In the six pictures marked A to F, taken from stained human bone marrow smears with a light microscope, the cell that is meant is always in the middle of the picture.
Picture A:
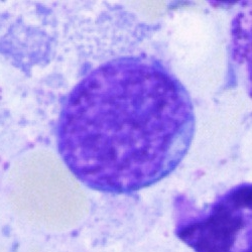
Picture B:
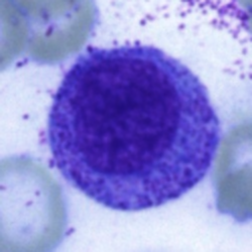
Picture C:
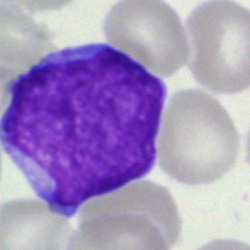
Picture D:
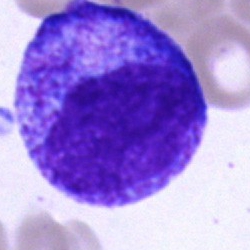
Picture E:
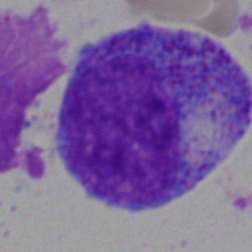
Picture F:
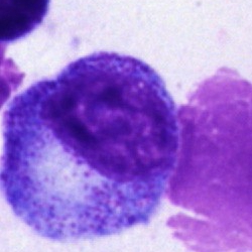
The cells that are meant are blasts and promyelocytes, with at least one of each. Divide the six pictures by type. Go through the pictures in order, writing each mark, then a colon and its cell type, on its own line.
A: blast
B: promyelocyte
C: blast
D: promyelocyte
E: promyelocyte
F: promyelocyte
